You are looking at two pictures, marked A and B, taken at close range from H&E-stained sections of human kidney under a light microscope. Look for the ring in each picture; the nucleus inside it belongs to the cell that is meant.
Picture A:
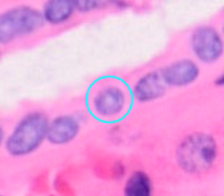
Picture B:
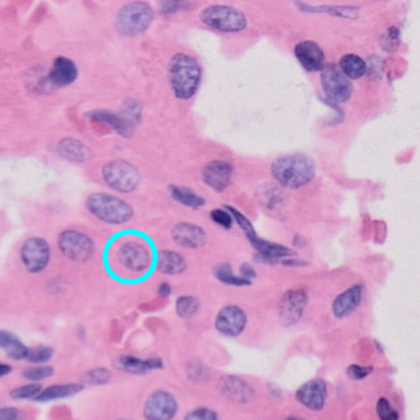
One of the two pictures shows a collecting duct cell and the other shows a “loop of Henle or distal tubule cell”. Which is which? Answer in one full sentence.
Picture B shows a “loop of Henle or distal tubule cell”, while picture A shows a collecting duct cell.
